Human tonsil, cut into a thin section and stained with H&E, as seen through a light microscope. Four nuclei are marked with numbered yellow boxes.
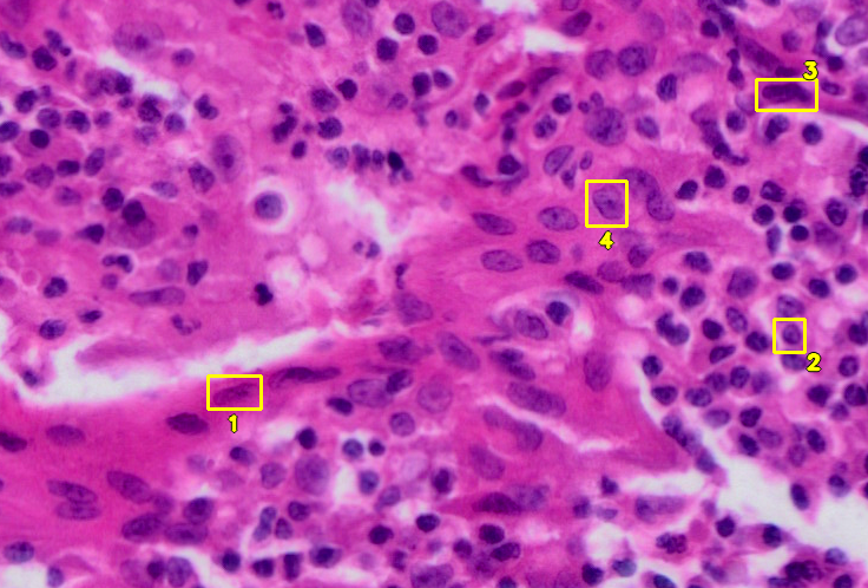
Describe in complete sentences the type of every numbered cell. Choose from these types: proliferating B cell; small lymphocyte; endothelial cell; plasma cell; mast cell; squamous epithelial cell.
Cells 1, 3 and 4 are squamous epithelial cells. Cell 2 is a plasma cell.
